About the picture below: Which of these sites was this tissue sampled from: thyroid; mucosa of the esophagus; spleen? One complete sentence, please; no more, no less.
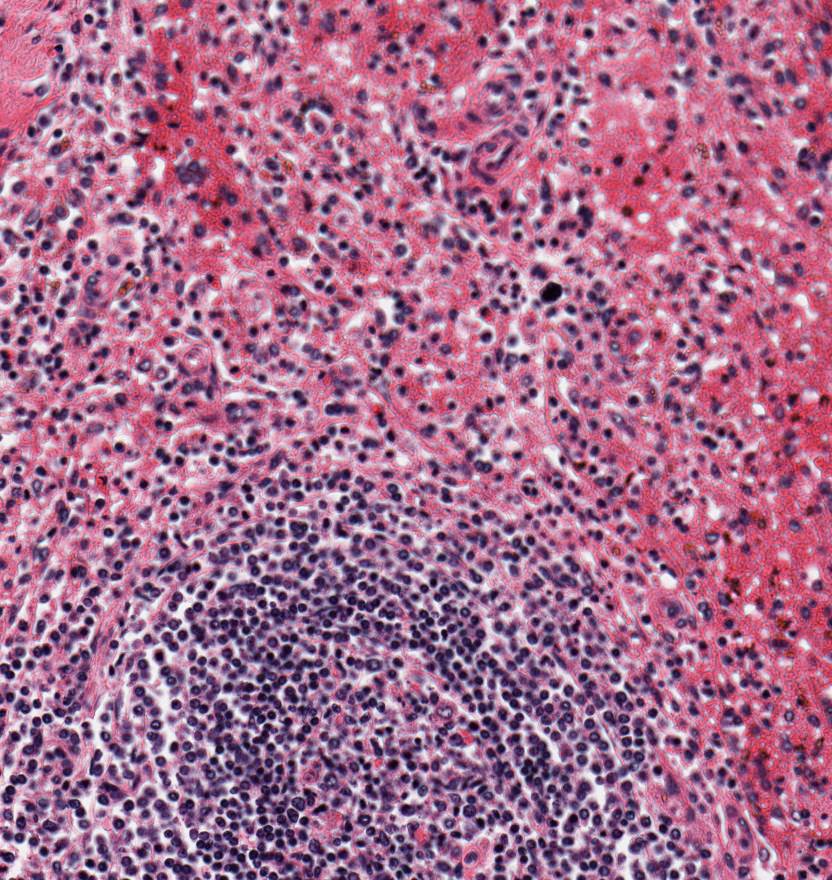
The tissue sectioned for this slide came from the spleen.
